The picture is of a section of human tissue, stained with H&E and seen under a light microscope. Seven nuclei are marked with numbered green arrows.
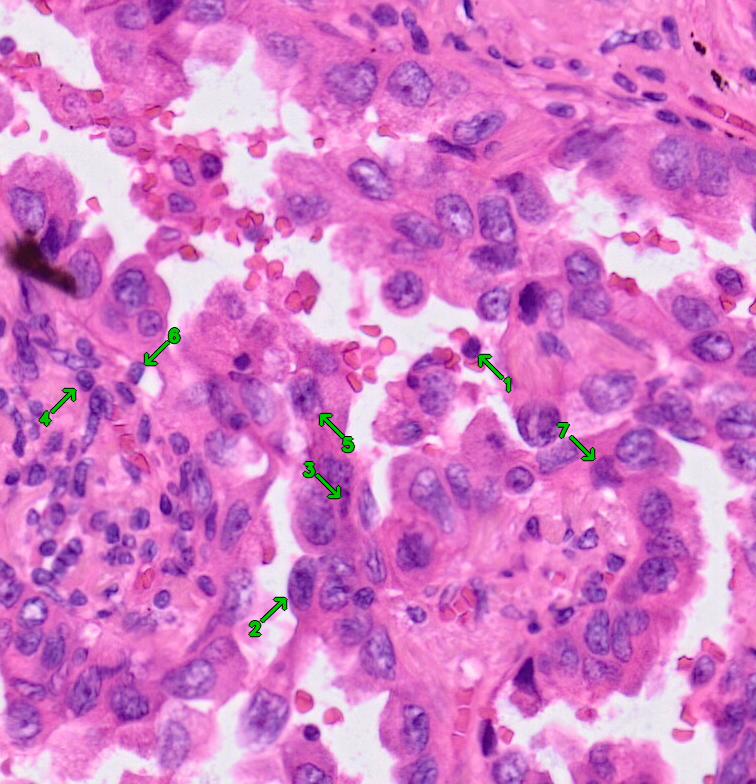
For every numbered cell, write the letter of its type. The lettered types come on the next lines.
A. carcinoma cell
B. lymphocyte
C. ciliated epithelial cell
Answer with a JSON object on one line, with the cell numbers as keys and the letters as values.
{"1": "B", "2": "A", "3": "A", "4": "B", "5": "A", "6": "B", "7": "A"}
